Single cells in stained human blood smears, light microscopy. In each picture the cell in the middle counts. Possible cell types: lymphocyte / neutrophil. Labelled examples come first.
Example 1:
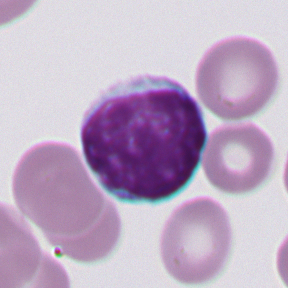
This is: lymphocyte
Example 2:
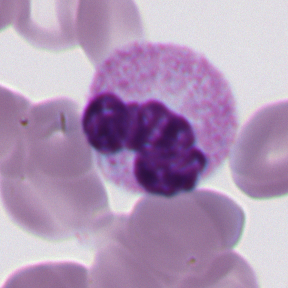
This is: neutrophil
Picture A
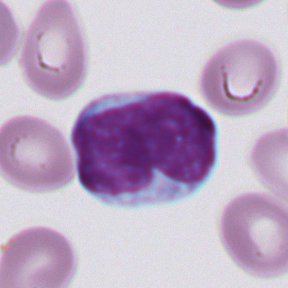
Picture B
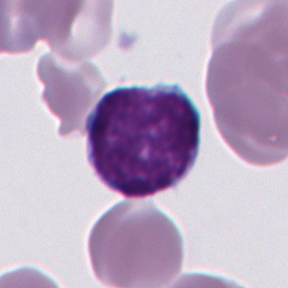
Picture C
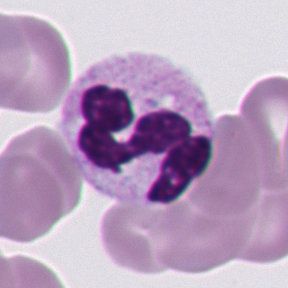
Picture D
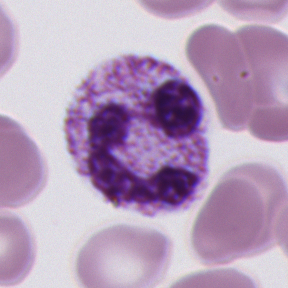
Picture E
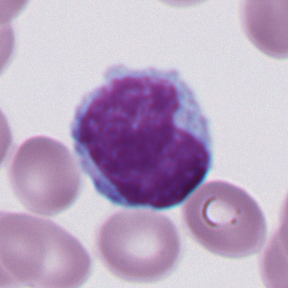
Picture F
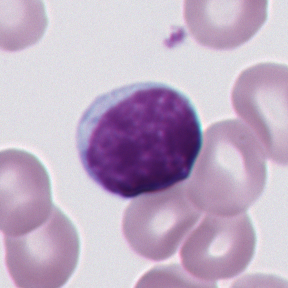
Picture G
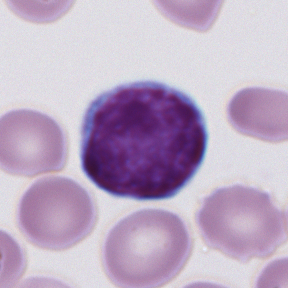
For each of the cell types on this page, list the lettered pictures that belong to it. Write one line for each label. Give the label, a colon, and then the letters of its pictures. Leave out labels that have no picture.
lymphocyte: A, B, E, F, G
neutrophil: C, D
